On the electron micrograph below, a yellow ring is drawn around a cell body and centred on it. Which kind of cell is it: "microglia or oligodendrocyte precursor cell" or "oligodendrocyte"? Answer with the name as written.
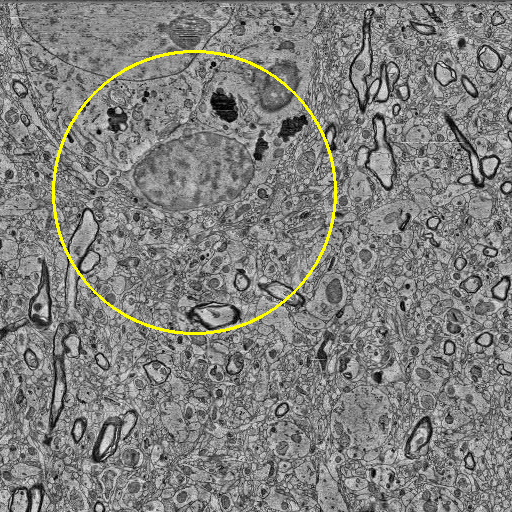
oligodendrocyte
